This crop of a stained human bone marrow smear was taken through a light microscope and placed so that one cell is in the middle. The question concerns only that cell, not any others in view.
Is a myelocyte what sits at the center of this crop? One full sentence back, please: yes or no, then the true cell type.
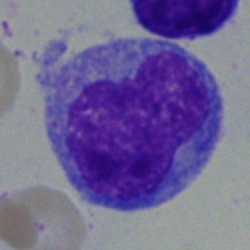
No, a monocyte rather than a myelocyte is the cell at the centre of the crop.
